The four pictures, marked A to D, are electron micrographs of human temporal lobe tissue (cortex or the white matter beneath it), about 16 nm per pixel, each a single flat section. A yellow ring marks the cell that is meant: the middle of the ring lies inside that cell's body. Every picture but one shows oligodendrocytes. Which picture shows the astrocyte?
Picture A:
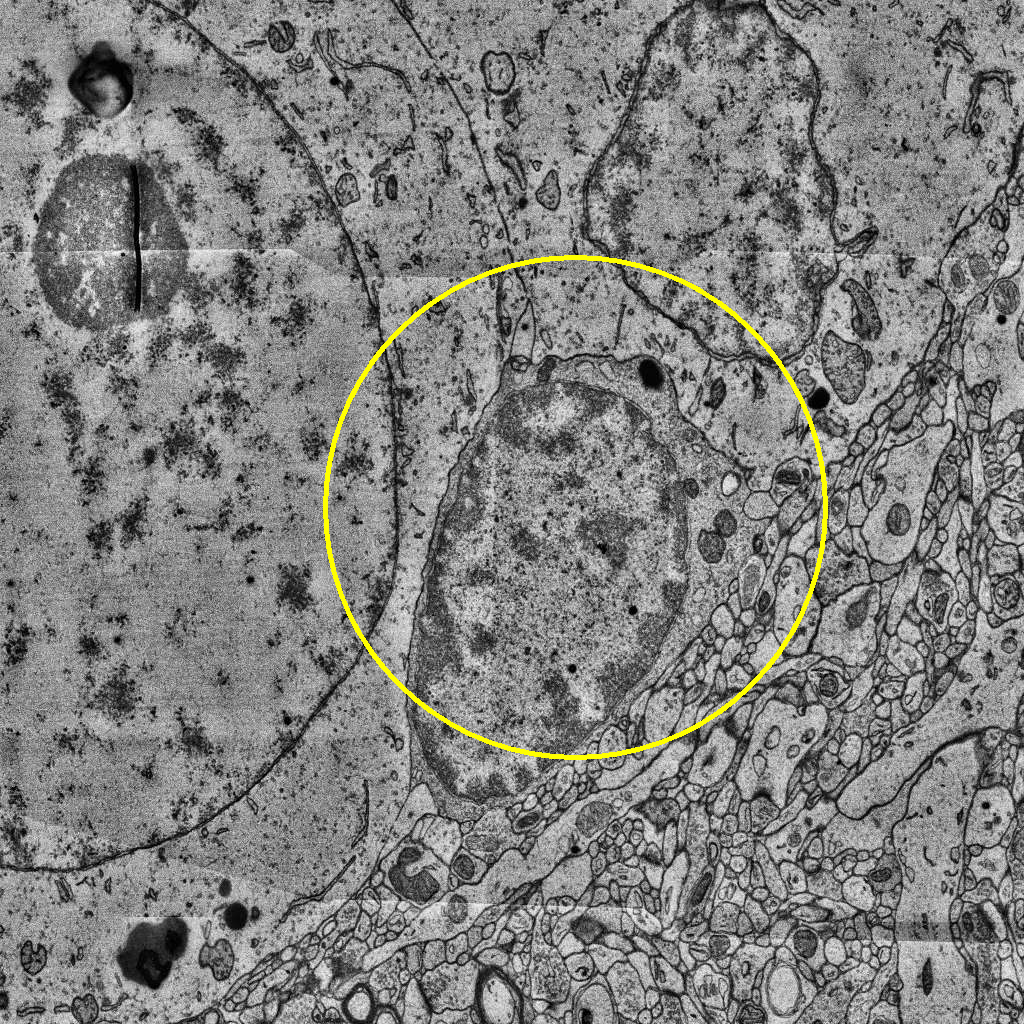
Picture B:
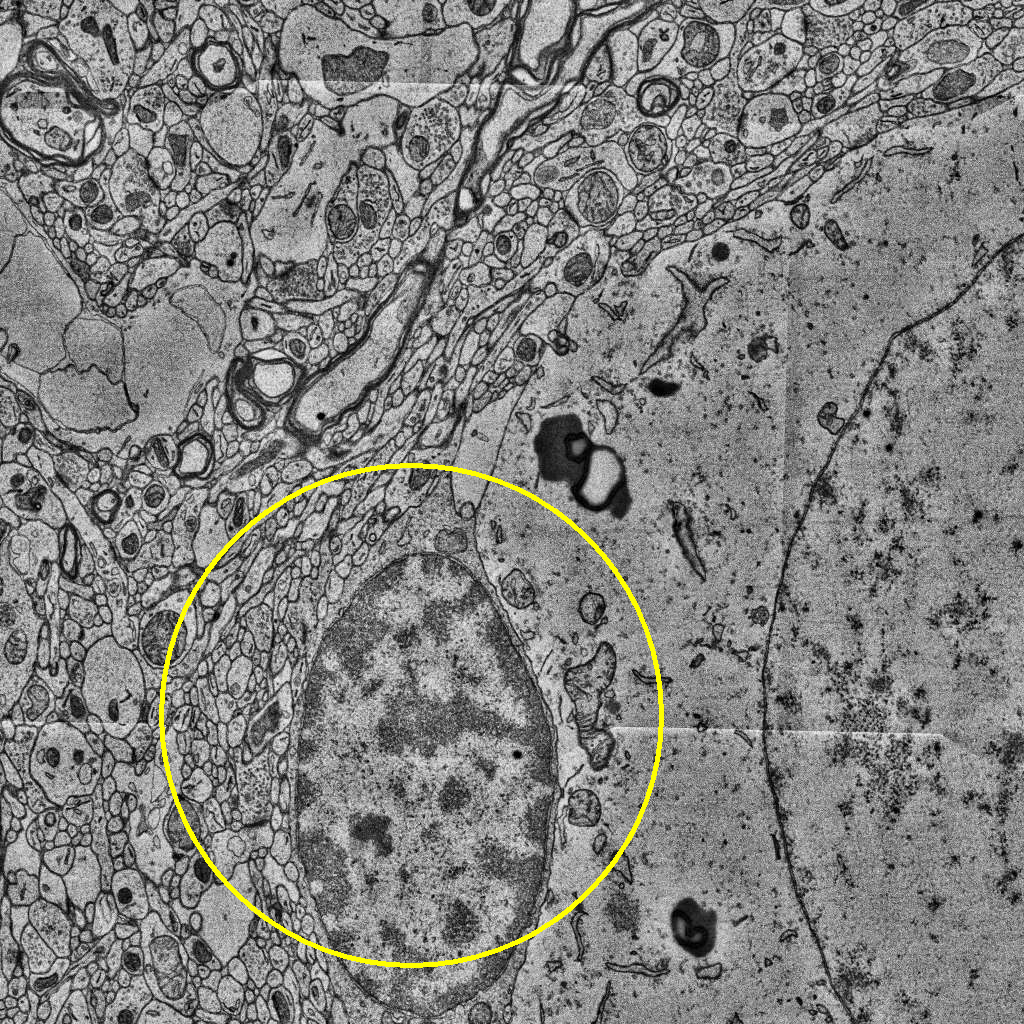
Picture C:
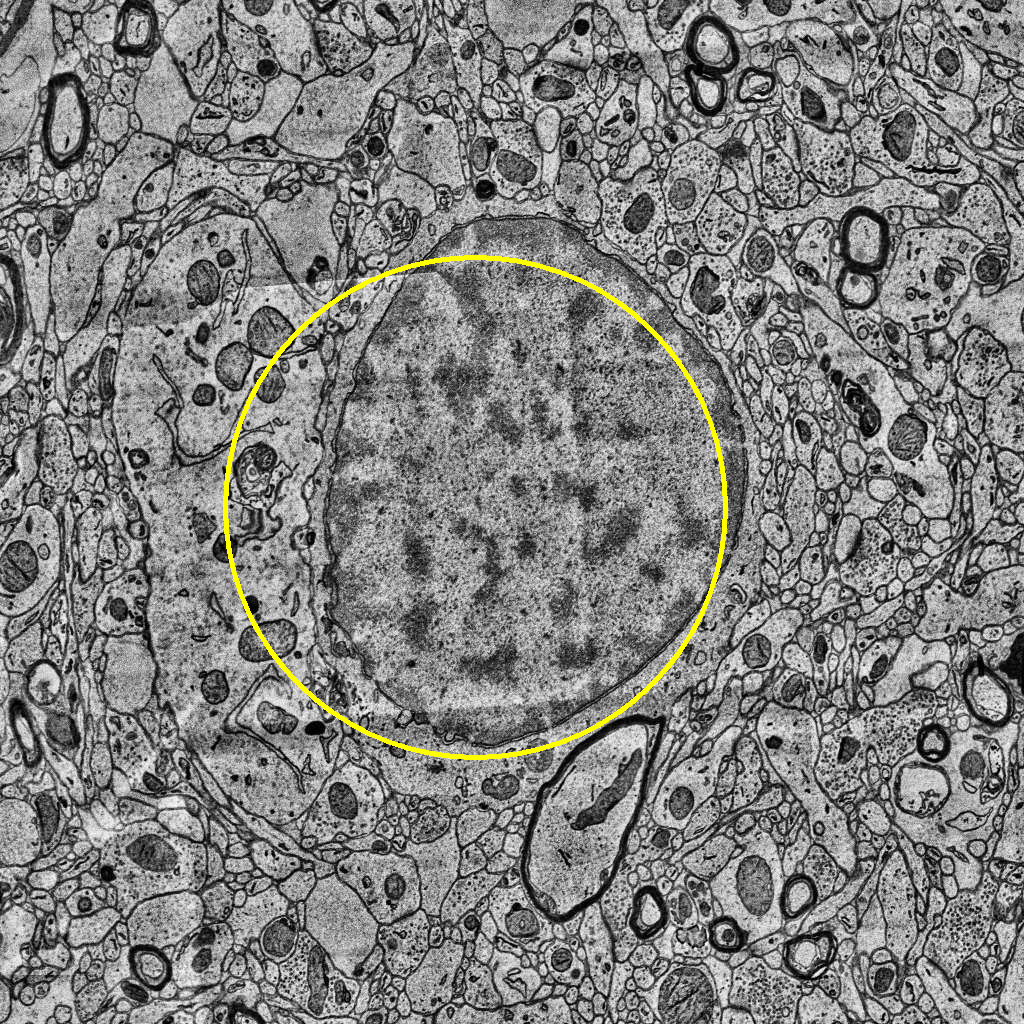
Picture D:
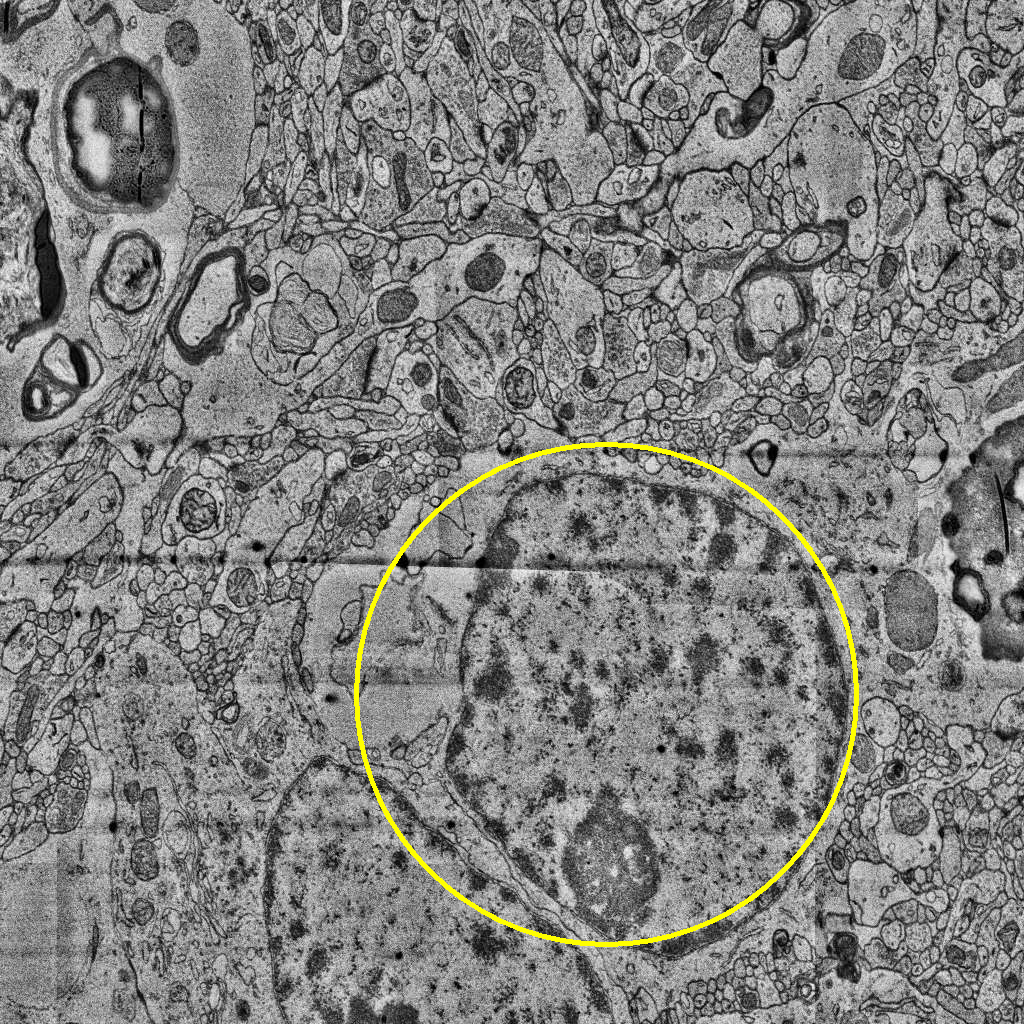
The cell in picture D is the astrocyte.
